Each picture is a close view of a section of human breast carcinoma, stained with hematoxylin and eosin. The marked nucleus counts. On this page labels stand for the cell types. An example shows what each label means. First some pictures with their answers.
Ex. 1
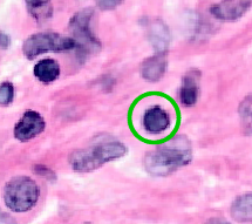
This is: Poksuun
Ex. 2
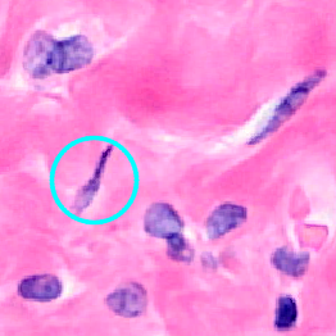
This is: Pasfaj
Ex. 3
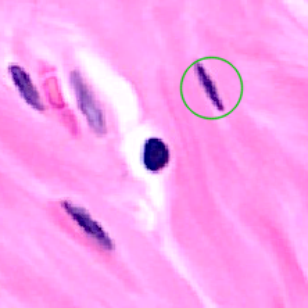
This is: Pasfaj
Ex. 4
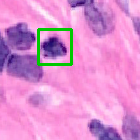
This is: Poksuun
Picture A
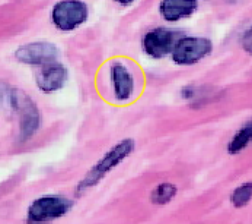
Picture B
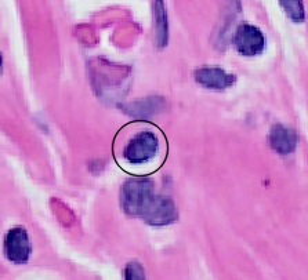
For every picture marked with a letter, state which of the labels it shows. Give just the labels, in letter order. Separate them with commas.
Poksuun, Poksuun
